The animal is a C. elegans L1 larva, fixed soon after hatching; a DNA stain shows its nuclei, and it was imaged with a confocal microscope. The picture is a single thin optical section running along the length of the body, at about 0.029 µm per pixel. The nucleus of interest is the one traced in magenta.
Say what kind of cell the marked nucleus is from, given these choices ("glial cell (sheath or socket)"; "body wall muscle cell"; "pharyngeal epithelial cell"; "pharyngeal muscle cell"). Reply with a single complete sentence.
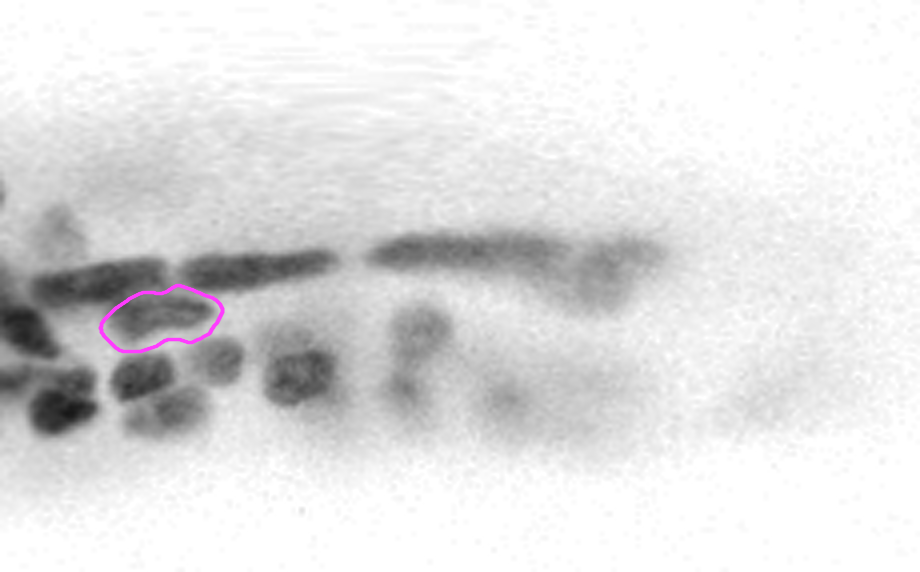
The marked nucleus belongs to a pharyngeal muscle cell.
